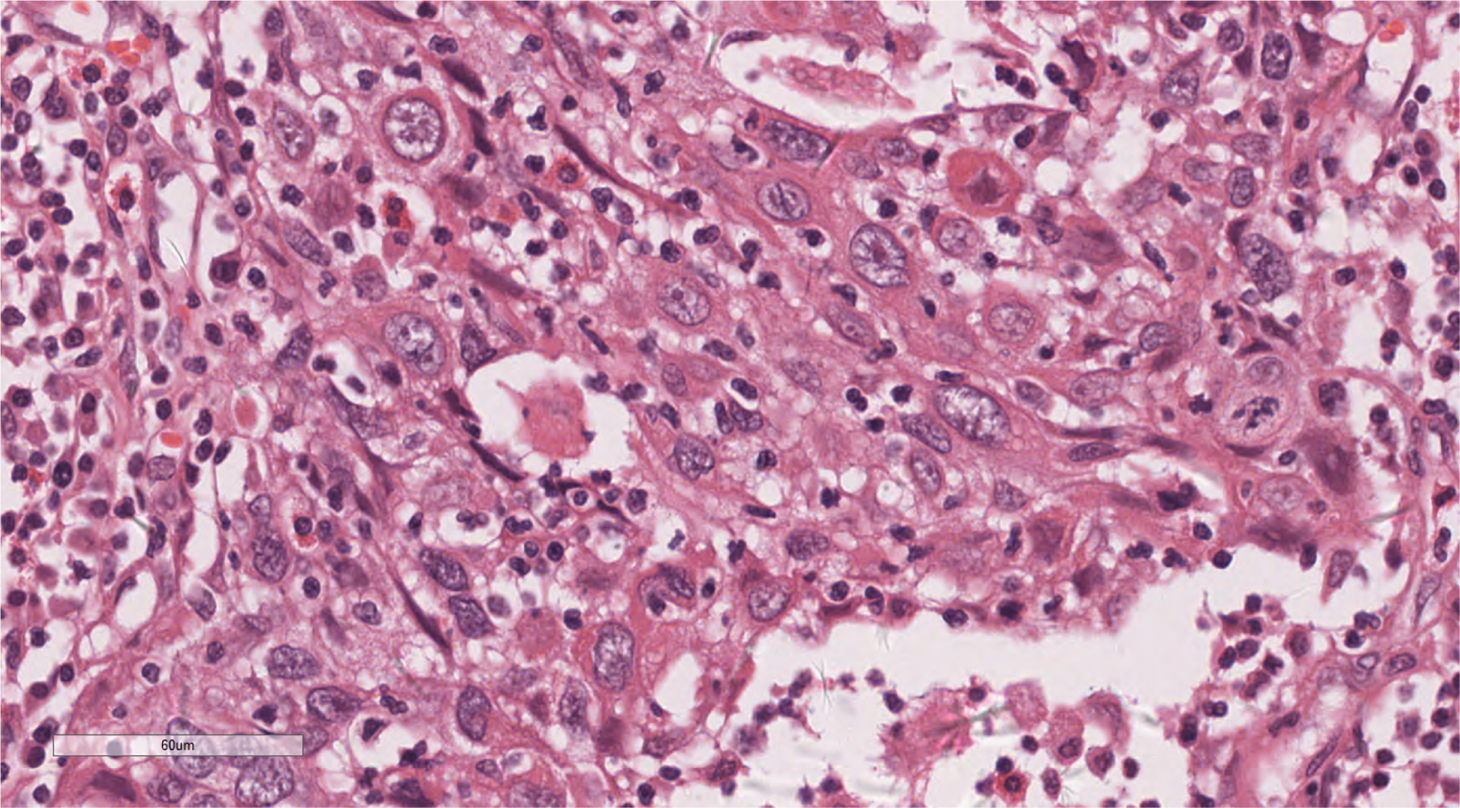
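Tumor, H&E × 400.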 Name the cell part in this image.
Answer: Prominent nucleoli.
